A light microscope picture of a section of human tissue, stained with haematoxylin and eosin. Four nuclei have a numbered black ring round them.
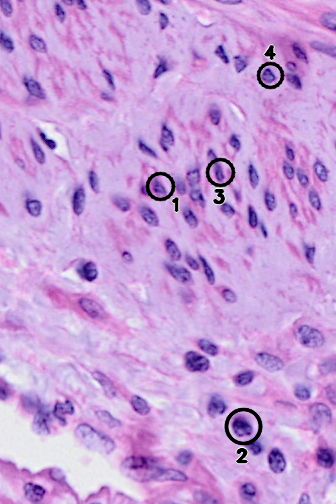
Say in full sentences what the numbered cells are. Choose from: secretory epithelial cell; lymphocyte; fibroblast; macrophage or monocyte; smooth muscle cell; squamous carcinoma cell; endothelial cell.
Cell 1 is a smooth muscle cell, cell 2 is a lymphocyte, cell 3 is a smooth muscle cell and cell 4 is a smooth muscle cell.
